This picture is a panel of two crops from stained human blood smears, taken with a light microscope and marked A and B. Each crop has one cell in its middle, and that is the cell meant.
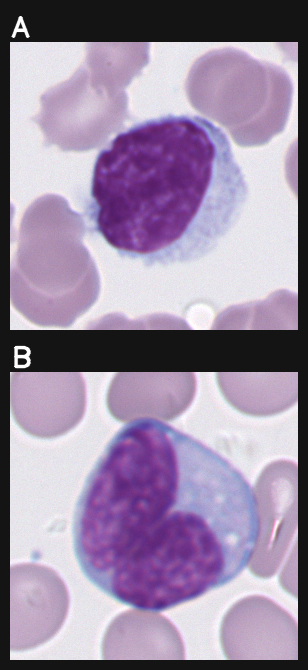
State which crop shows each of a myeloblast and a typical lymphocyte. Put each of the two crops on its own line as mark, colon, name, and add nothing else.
A: typical lymphocyte
B: myeloblast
